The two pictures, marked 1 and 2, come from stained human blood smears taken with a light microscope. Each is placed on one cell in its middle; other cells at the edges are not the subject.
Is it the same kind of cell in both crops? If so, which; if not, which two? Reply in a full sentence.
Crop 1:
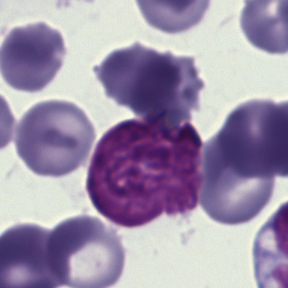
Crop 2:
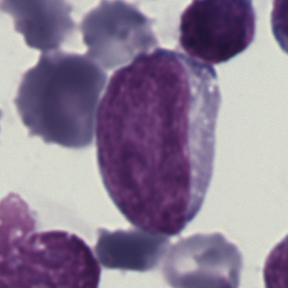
No, the central cell of crop 1 is a smudge cell; that of crop 2 is a myeloblast.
